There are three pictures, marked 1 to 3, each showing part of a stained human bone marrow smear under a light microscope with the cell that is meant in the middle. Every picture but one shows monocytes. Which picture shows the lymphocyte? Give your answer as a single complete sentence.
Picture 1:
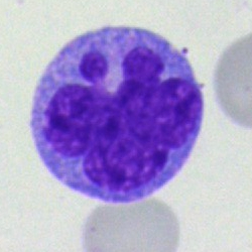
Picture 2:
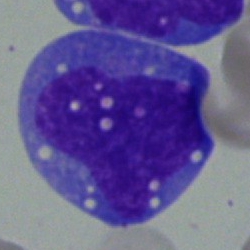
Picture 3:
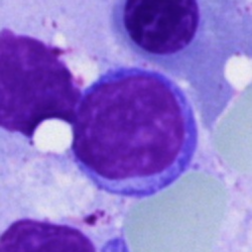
Picture 3 is the one that shows the lymphocyte.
